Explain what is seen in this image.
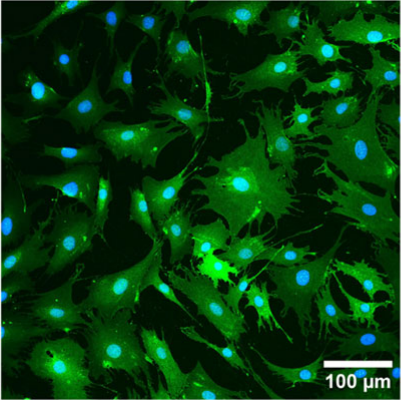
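The cells are irregular and many-sided, with several tapering extensions and ruffled, fringed edges reaching out in different directions. Nearly every cell carries the green signal, which runs fairly evenly through the cell body and its extensions. Neighbouring cells touch or overlap at the tips of their extensions in places, with dark, empty areas of the dish between them.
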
